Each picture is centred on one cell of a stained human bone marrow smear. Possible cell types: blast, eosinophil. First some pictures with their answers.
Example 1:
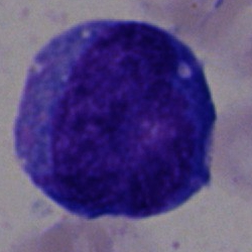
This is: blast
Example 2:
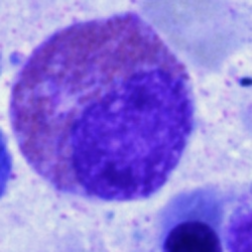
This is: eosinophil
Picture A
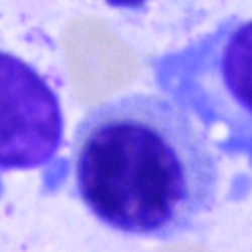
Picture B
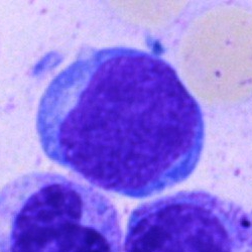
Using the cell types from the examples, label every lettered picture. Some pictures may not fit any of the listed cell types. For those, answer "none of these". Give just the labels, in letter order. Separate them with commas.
none of these, blast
